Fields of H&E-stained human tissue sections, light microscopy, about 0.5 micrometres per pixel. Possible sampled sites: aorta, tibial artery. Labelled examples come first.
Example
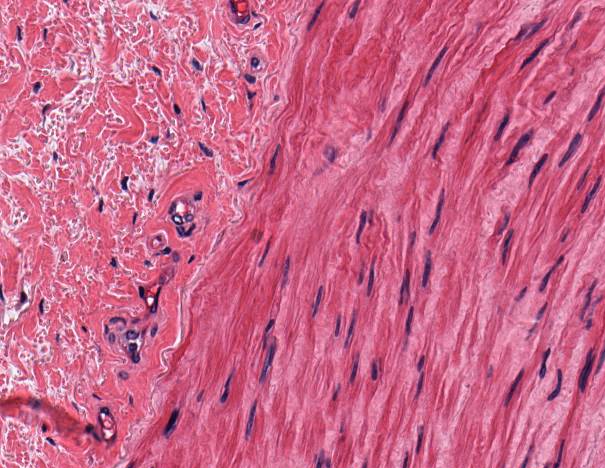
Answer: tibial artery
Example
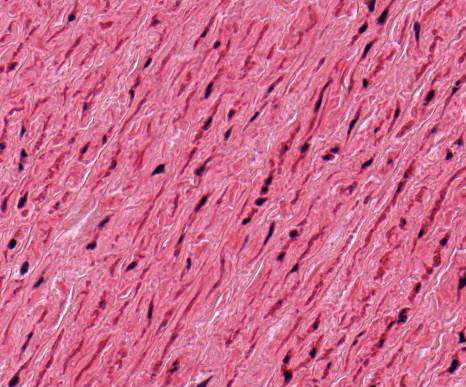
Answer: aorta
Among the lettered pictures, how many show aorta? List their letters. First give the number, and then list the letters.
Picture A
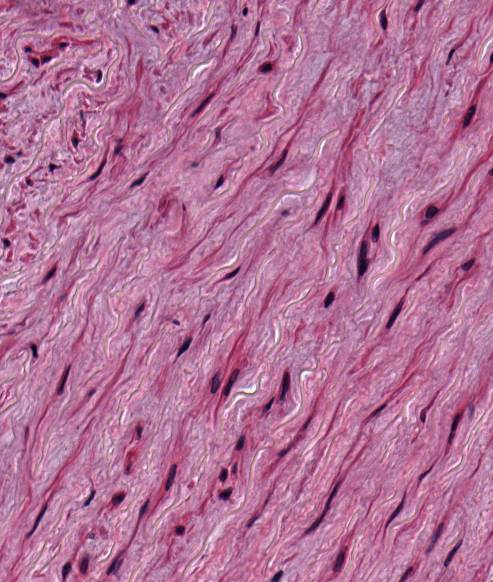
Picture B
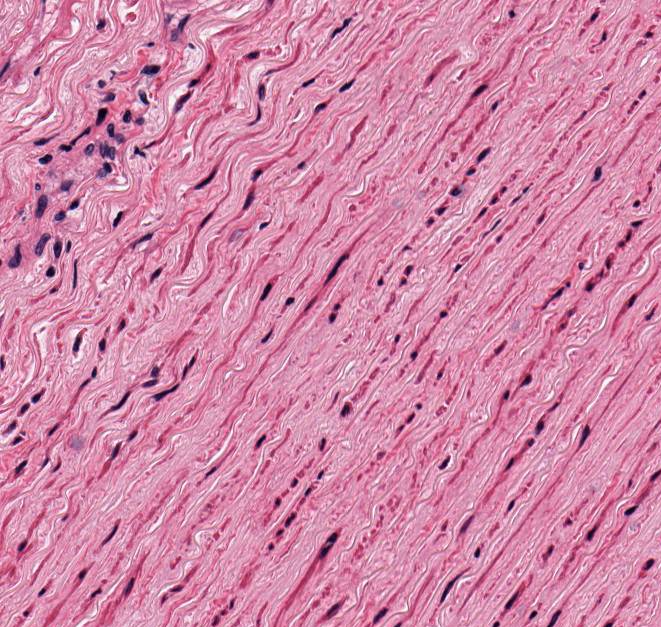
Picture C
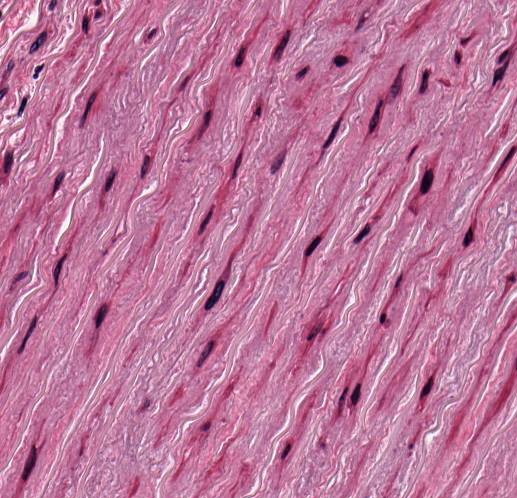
3: A, B, C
